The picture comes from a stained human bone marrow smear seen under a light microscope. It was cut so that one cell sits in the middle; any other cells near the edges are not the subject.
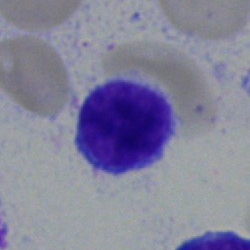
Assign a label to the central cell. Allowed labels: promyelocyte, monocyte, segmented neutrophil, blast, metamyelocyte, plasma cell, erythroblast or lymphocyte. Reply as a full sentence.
At the center of the crop sits a lymphocyte.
